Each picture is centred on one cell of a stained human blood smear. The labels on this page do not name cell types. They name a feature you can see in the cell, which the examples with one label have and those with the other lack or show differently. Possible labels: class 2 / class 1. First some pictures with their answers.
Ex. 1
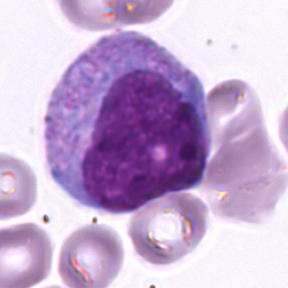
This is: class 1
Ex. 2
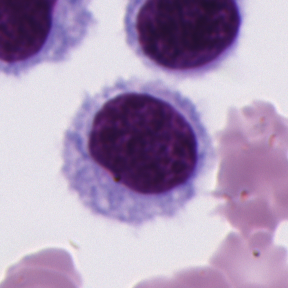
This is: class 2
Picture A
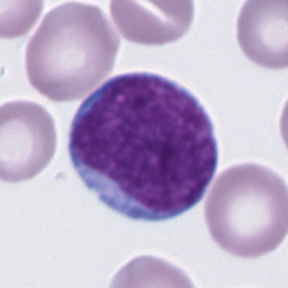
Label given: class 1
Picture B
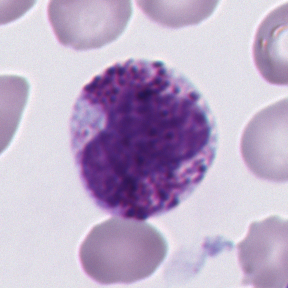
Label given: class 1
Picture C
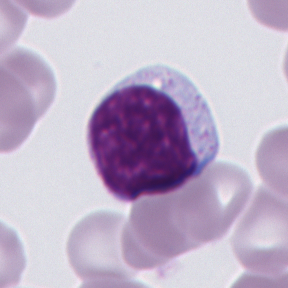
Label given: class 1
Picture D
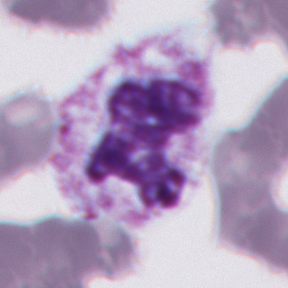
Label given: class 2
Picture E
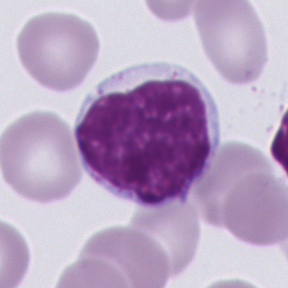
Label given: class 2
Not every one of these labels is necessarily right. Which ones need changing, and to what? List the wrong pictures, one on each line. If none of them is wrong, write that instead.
E should be class 1, not class 2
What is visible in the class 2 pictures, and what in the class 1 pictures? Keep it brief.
Seen in class 2: ragged outline or projections; seen in class 1: smooth outline.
